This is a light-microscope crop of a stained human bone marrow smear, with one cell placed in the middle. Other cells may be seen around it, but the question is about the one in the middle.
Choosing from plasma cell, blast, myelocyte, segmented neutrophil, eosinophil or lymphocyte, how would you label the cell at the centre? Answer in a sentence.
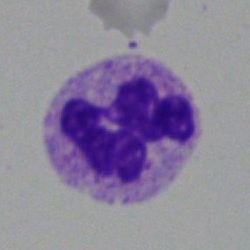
The middle position in this crop is taken by a segmented neutrophil.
